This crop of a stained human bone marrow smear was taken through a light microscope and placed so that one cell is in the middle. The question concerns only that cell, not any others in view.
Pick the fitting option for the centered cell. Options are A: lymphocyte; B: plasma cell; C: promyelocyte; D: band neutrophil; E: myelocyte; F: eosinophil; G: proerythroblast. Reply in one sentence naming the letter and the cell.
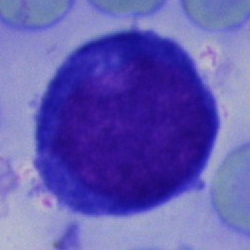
For this crop, option G is right, the centered cell being a proerythroblast.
